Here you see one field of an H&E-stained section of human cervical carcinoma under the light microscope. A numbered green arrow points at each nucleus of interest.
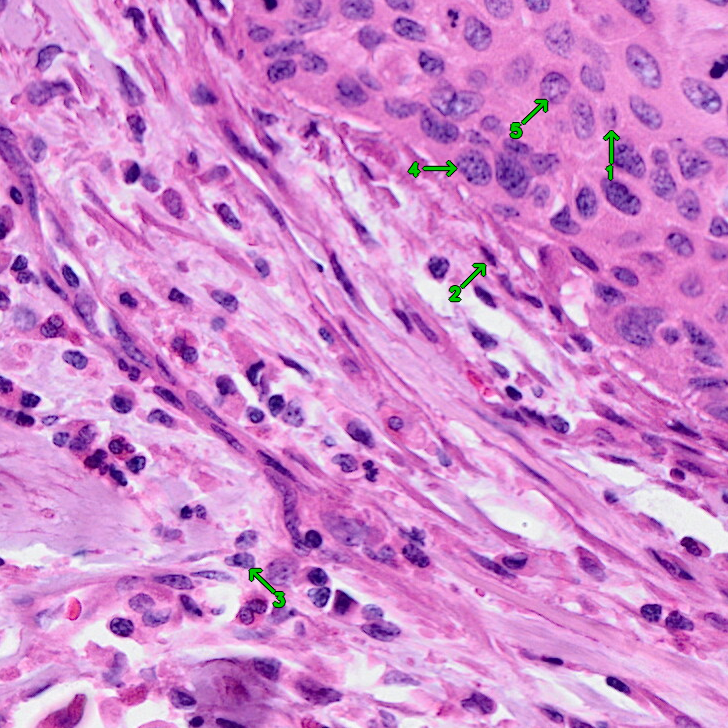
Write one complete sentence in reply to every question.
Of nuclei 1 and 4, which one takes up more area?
Nucleus 4 is the larger one, covering about 3 times the area of nucleus 1.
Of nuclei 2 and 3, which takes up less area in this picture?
Nucleus 2 covers less area, with nucleus 3 about 2.5 times as large.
